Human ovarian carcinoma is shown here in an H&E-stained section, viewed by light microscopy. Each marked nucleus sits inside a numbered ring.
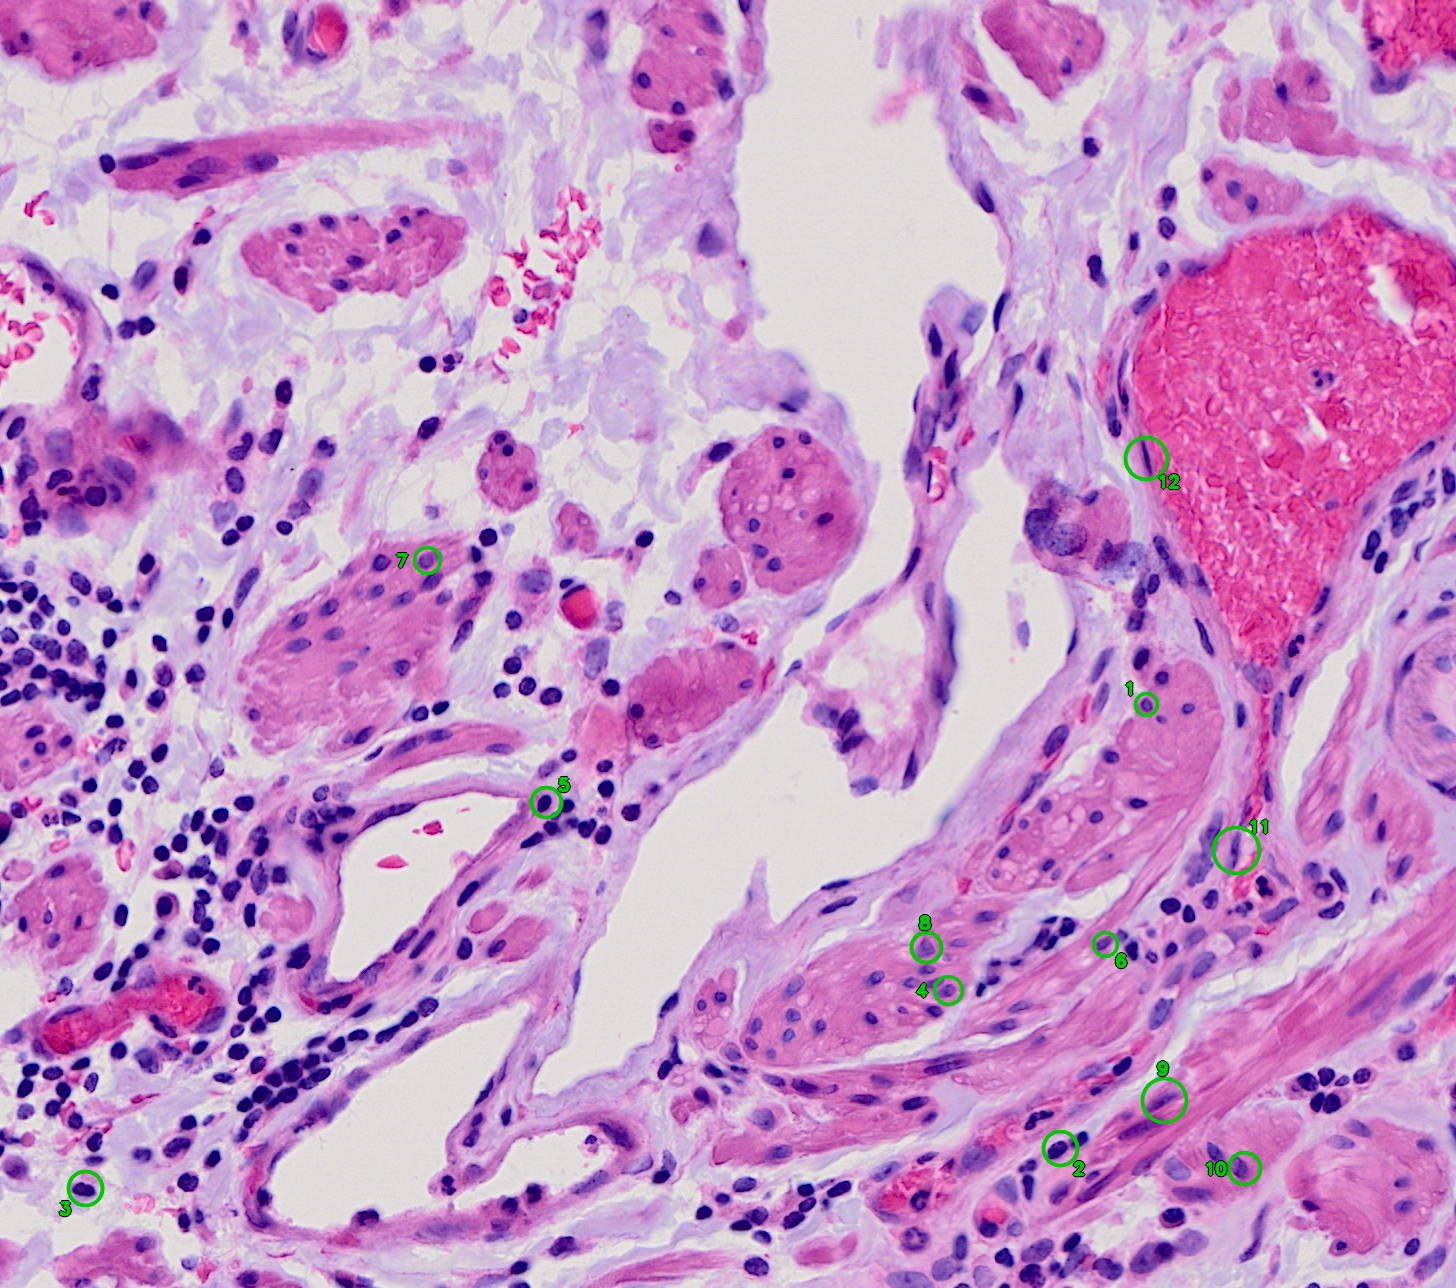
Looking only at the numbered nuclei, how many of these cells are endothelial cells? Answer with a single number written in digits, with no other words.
2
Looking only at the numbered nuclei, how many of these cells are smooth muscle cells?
7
